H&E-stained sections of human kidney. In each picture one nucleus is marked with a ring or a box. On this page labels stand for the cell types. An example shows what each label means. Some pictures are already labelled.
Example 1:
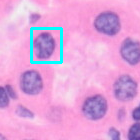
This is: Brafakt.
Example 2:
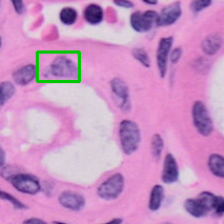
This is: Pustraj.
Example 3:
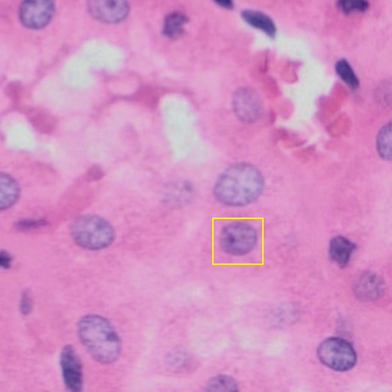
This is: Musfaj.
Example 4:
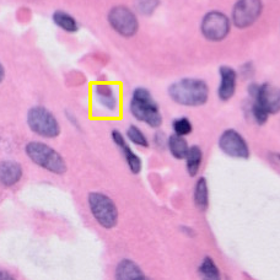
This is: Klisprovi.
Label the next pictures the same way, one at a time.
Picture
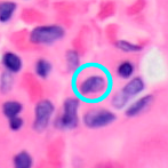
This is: Klisprovi.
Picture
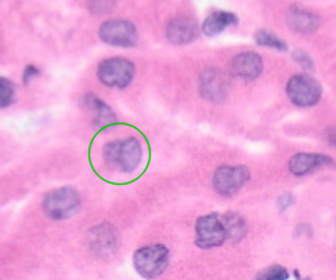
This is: Musfaj.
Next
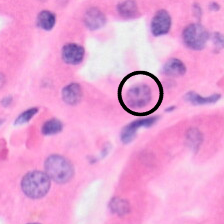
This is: Brafakt.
